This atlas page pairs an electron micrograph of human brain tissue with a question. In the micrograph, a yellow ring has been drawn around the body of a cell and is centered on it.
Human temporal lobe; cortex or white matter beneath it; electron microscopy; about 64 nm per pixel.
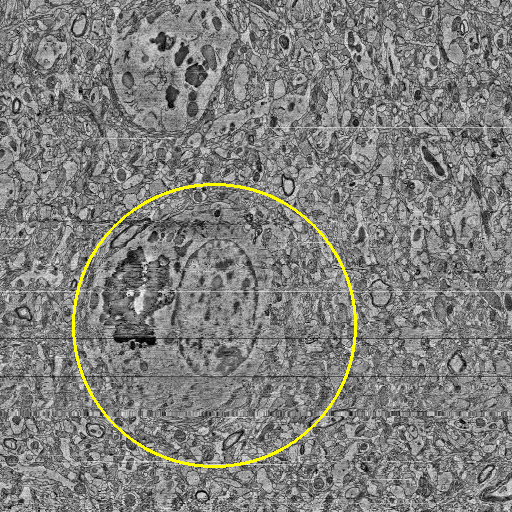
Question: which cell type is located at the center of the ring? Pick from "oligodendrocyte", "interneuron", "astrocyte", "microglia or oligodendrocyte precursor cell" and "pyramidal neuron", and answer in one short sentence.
Located at the center of the ring is an astrocyte.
